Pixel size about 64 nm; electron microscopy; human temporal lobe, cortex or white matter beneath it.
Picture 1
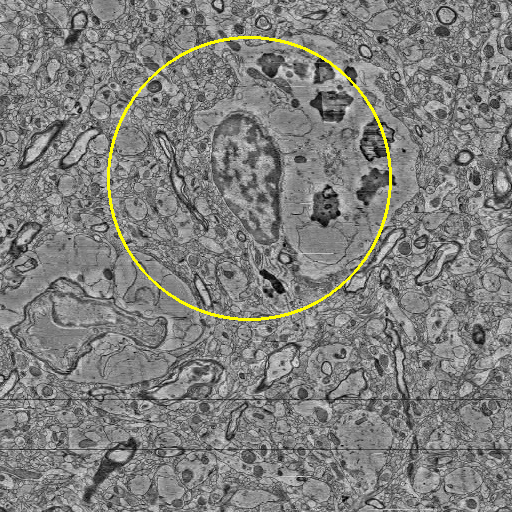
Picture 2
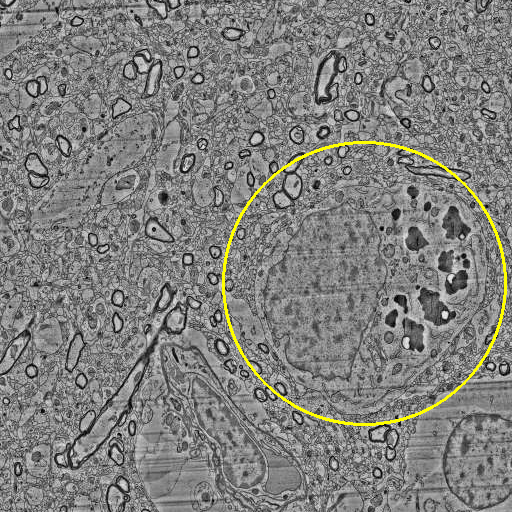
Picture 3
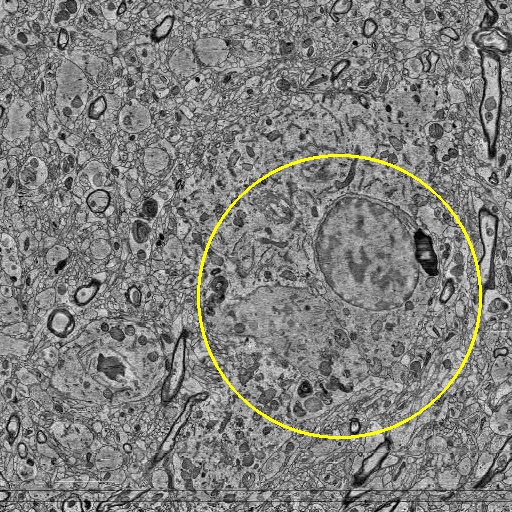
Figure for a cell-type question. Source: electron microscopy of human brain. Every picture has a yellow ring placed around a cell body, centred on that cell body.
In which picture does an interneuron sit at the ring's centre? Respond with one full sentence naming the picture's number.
The cell in the middle of the ring in picture 2 is the one sought.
